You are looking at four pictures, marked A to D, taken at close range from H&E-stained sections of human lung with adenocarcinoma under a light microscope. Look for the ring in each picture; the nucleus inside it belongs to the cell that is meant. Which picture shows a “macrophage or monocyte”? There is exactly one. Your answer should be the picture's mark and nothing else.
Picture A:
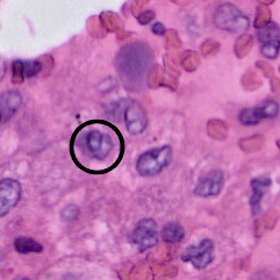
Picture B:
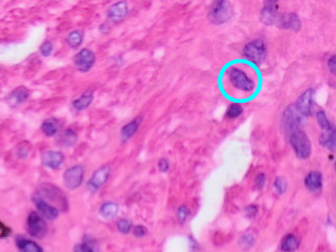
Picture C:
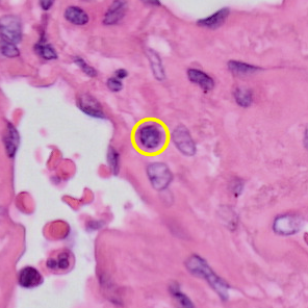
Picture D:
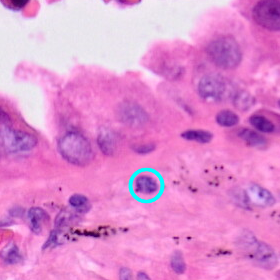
A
